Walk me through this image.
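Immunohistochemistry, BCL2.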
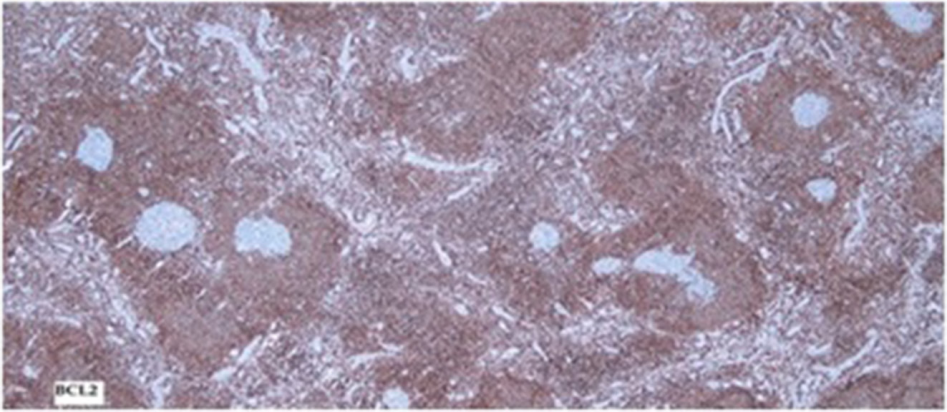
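Low-power view of lymphoid tissue with large rounded follicles that stain brown throughout most of their area. Within many of these nodules lies a small, sharply outlined, pale blue round area without staining, the germinal centre, surrounded by a wide brown rim that forms the mantle zone. The mantle zones are broad and make up most of each follicle, while the germinal centres appear small. Between the follicles the tissue is paler and looser, crossed by many slender, branching vessel profiles that stand out as white channels.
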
